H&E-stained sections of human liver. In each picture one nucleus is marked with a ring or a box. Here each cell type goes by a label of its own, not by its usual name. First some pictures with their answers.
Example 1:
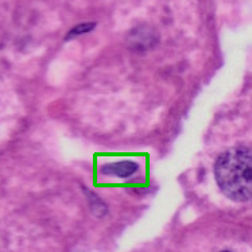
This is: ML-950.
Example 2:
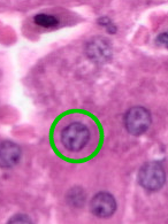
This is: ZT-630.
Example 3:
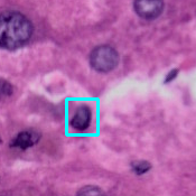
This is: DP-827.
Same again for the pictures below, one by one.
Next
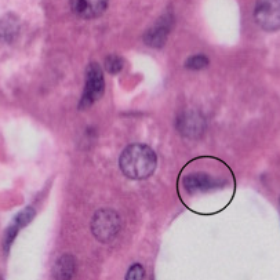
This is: DP-827.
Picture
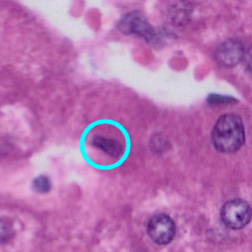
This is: DP-827.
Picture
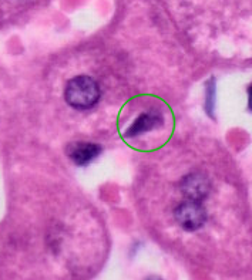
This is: DP-827.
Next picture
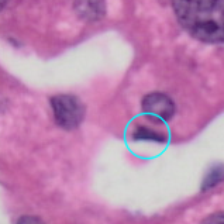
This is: DP-827.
